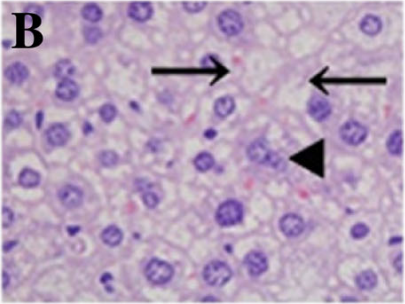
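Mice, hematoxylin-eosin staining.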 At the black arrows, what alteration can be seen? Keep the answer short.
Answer: fat granule in cell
